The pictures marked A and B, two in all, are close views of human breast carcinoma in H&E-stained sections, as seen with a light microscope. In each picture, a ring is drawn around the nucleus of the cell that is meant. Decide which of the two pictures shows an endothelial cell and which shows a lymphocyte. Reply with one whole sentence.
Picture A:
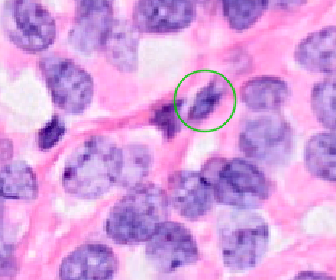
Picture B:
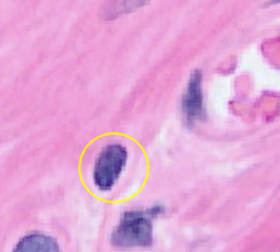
In picture A the cell is an endothelial cell; in picture B, a lymphocyte.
